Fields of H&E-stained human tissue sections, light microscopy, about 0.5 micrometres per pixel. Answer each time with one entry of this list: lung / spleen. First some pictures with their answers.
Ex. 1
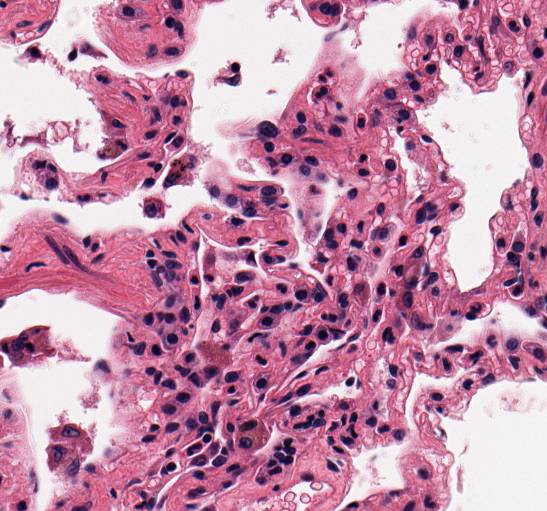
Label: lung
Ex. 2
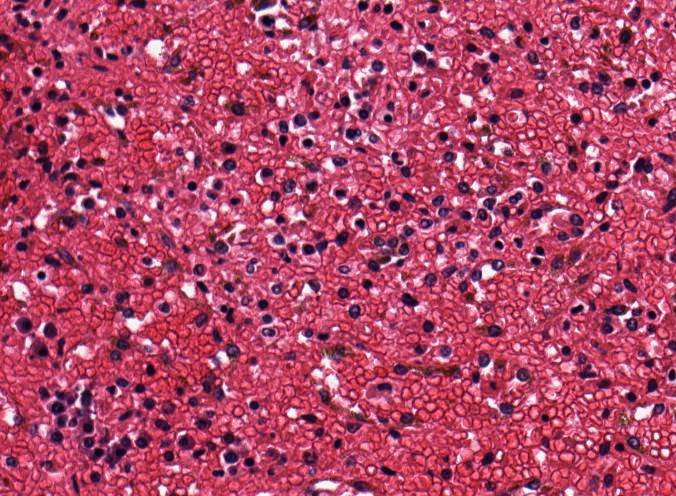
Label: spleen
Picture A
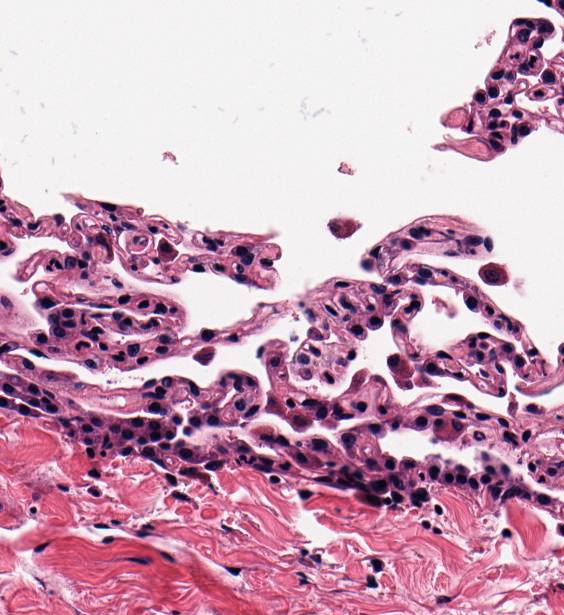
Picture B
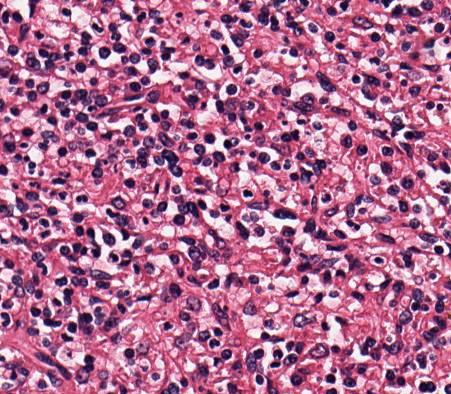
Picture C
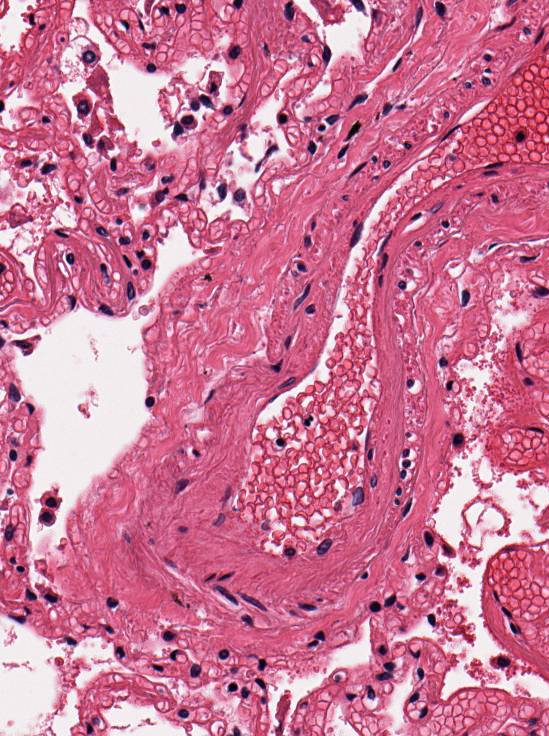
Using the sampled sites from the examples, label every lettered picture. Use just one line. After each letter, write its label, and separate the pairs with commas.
A lung, B spleen, C lung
